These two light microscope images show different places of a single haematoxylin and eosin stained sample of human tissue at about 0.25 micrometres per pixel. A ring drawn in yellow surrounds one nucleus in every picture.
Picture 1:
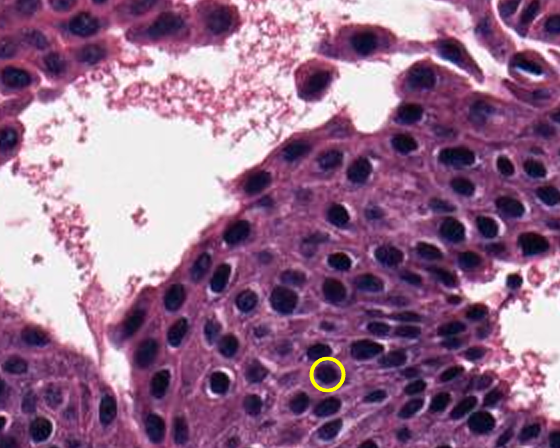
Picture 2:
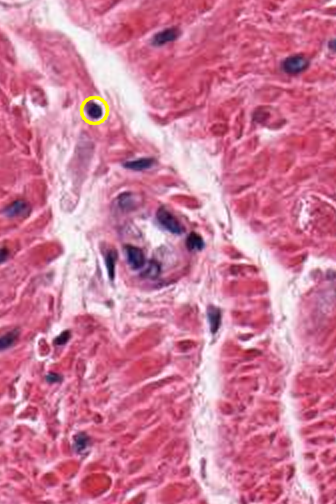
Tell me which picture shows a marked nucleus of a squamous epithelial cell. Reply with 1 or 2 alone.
1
